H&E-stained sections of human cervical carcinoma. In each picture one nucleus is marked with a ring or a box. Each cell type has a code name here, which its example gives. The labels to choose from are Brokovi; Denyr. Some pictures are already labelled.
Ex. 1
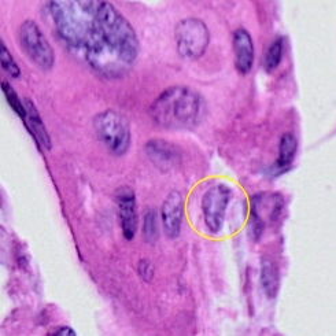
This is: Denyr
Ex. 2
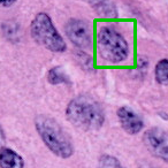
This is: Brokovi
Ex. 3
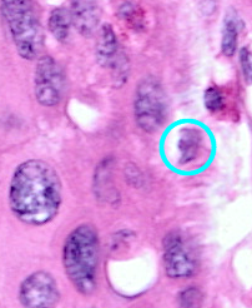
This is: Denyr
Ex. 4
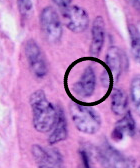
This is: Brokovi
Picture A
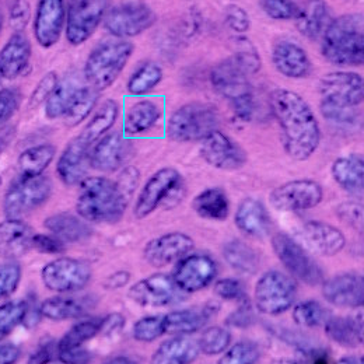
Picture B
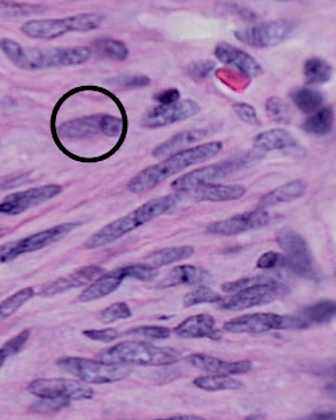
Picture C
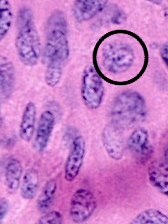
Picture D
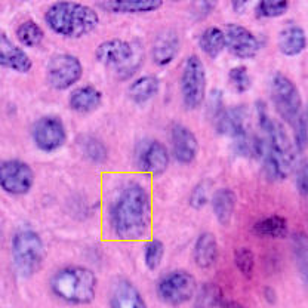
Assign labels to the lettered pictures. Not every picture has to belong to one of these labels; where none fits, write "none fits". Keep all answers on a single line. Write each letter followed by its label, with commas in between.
A Brokovi, B none fits, C Brokovi, D Brokovi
